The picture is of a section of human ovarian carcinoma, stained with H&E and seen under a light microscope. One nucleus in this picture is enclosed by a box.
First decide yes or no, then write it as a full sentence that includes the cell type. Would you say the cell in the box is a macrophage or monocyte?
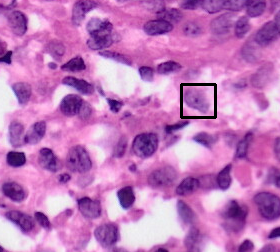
Yes, the cell in the box is a macrophage or monocyte by cell type.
